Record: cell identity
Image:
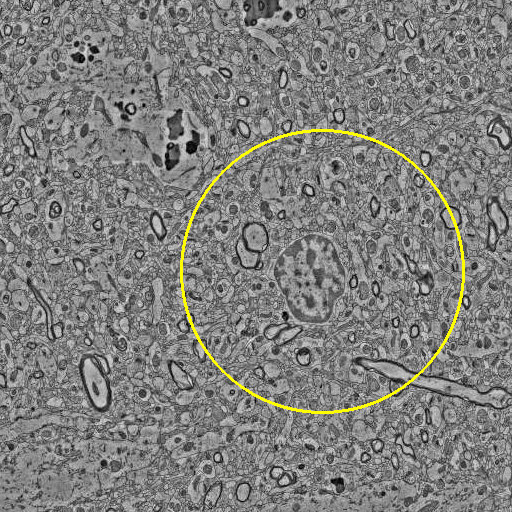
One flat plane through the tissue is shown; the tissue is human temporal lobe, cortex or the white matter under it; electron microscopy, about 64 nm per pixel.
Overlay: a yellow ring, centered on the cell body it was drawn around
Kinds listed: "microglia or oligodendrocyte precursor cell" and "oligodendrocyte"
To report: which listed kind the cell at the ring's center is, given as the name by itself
microglia or oligodendrocyte precursor cell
